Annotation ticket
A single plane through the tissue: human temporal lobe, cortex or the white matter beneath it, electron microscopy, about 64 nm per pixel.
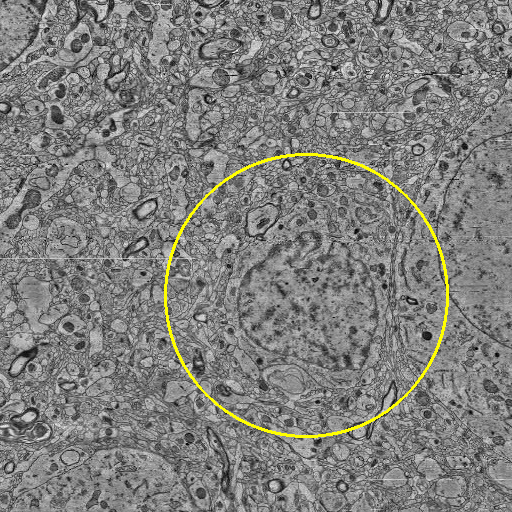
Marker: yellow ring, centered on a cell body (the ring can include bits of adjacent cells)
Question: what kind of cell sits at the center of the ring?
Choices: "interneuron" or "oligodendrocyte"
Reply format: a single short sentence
The ring is centered on an interneuron.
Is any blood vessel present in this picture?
No, the picture includes no blood vessel.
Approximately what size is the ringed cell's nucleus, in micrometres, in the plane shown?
The nucleus comes to roughly 9 micrometres across in this plane.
